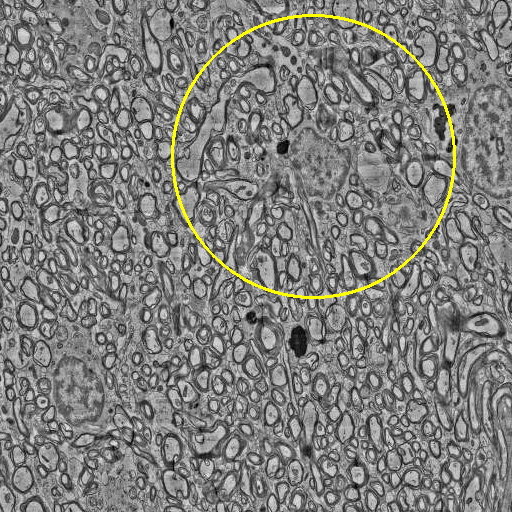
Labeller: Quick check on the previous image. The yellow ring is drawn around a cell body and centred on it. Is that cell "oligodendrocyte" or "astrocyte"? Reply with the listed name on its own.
oligodendrocyte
